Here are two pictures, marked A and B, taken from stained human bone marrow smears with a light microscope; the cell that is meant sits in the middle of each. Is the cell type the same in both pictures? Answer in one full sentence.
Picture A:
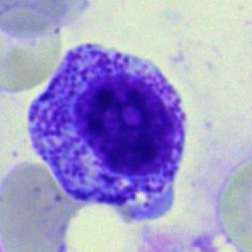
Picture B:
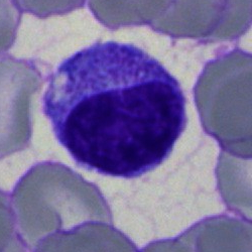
Yes, both are myelocytes.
